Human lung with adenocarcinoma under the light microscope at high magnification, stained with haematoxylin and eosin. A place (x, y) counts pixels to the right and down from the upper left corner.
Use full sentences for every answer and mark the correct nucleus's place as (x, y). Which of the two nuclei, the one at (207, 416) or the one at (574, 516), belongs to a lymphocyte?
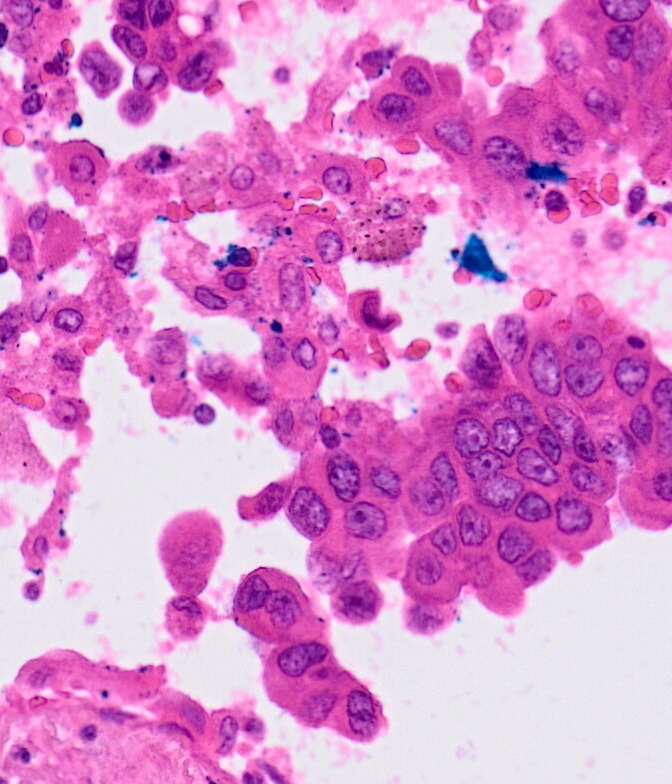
Of the two nuclei, the nucleus belonging to a lymphocyte is located at (207, 416).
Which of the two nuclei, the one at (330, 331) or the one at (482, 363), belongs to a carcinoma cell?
The nucleus at position (482, 363) belongs to a carcinoma cell.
